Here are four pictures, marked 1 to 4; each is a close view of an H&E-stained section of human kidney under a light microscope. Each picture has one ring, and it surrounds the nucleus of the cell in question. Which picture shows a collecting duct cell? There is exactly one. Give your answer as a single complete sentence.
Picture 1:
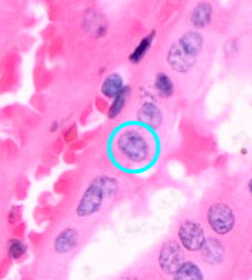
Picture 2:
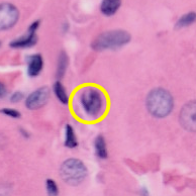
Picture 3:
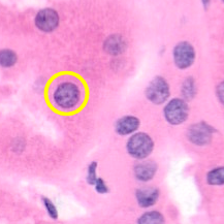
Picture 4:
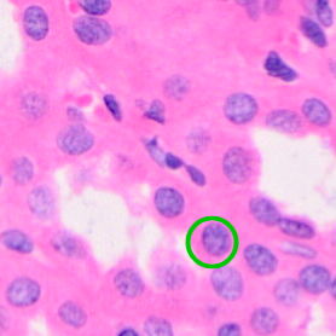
The cell in picture 1 is the collecting duct cell.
